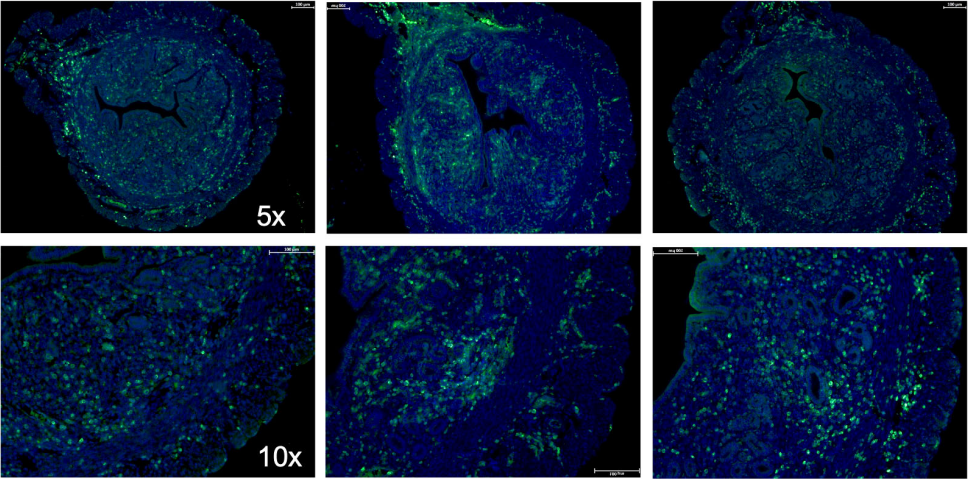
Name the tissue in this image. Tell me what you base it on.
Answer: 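Round cross-sections of a tubular organ with a narrow, slit-like central lumen. A dense cellular layer surrounds the lumen, ringed by a thinner outer layer with a folded outer edge. On this evidence: uterus.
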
